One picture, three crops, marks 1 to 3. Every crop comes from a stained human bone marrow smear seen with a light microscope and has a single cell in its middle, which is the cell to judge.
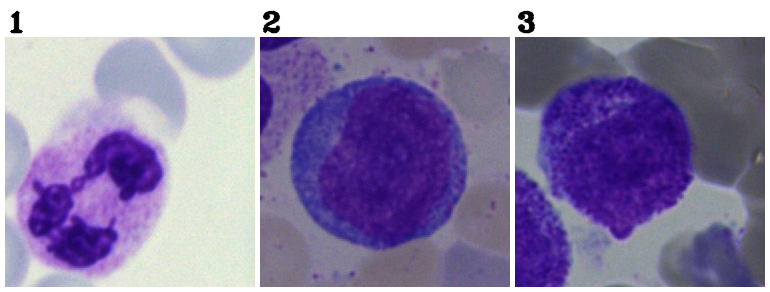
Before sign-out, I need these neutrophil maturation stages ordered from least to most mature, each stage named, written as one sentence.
The least to most mature sequence reads crop 2 (a promyelocyte), crop 3 (a myelocyte) and crop 1 (a segmented neutrophil).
